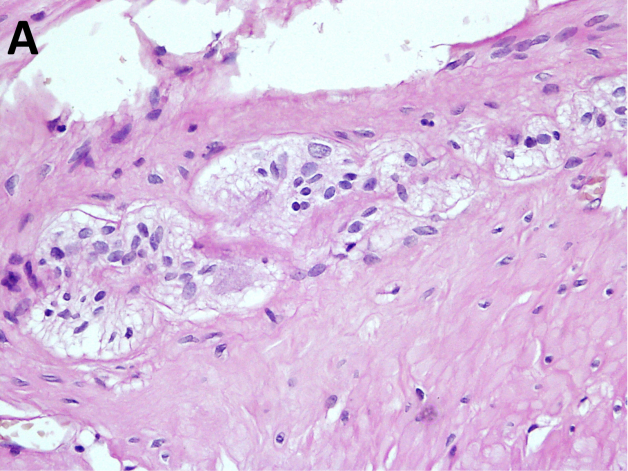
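This is a biopsy in which several nerve bundles lie within pink fibrous, muscular-looking stroma. The bundles form rounded to elongated nests of pale, finely vacuolated, bubbly tissue. Small oval to elongated dark nuclei are scattered within these nests. Around them the stroma is dense and eosinophilic with scattered spindle-shaped nuclei. Open clear spaces lie along the upper edge.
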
